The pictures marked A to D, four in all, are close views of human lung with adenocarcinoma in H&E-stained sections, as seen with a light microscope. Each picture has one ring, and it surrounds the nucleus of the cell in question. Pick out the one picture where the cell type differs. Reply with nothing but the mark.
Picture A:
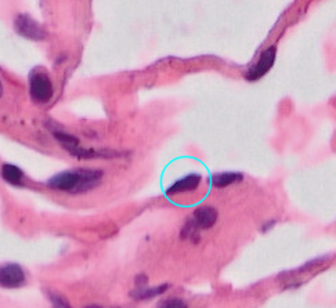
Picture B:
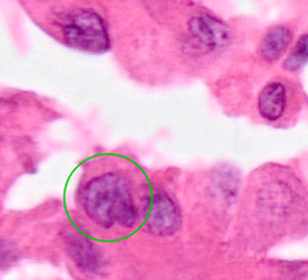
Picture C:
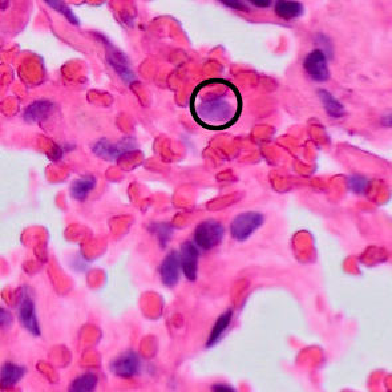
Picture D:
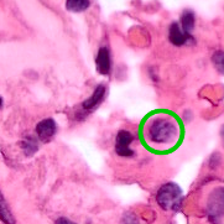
B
